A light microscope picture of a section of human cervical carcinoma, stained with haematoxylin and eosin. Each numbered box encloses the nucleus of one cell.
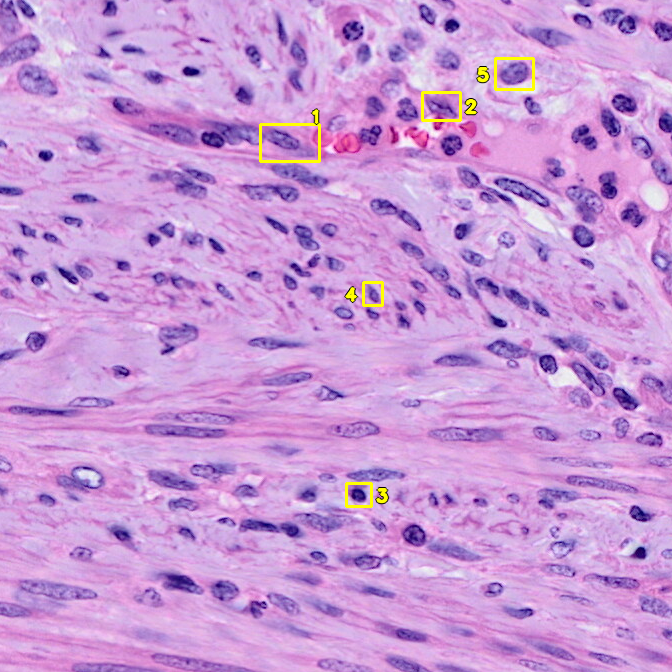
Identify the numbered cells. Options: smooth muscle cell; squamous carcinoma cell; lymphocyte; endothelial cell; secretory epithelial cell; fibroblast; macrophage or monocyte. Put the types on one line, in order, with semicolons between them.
endothelial cell; endothelial cell; lymphocyte; smooth muscle cell; macrophage or monocyte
